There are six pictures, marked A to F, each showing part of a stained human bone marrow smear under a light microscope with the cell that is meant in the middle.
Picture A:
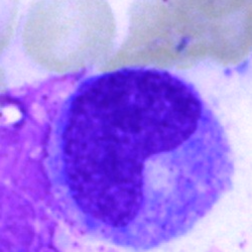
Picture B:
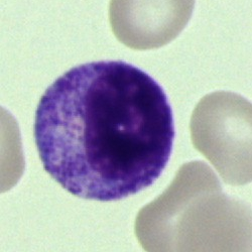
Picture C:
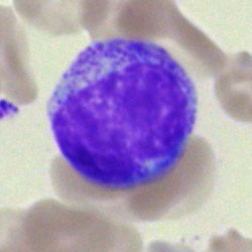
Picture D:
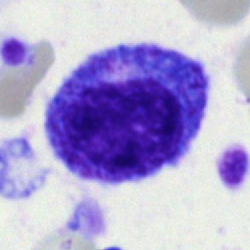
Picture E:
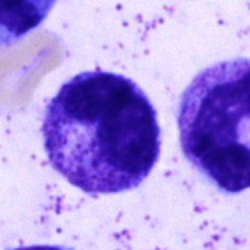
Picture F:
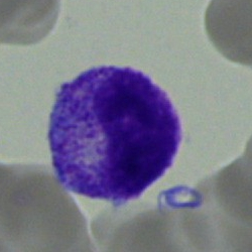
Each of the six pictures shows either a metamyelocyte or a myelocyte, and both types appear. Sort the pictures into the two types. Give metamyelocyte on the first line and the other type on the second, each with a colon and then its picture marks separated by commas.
metamyelocyte: A, E, F
myelocyte: B, C, D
